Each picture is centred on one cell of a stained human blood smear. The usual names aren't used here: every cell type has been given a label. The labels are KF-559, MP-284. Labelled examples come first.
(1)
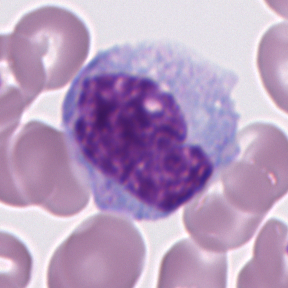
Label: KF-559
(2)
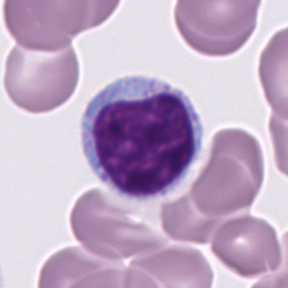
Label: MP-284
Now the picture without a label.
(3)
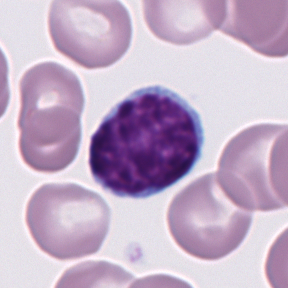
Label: MP-284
